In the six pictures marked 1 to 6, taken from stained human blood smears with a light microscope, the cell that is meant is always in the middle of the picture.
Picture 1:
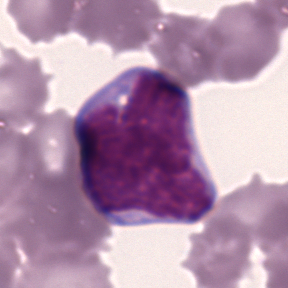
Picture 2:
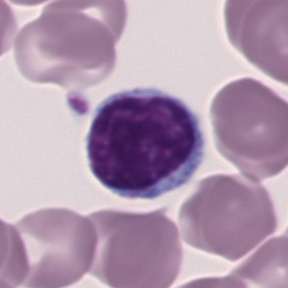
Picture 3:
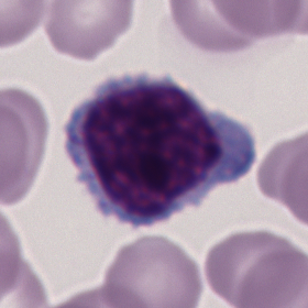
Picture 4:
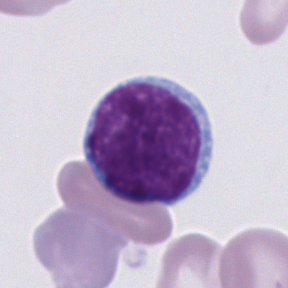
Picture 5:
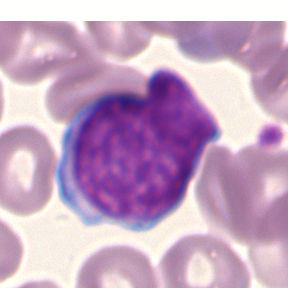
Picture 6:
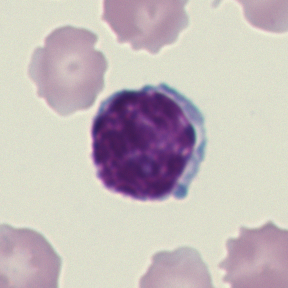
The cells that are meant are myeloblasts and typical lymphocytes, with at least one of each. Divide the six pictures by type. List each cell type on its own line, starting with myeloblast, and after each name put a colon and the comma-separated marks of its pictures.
myeloblast: 1, 5
typical lymphocyte: 2, 3, 4, 6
